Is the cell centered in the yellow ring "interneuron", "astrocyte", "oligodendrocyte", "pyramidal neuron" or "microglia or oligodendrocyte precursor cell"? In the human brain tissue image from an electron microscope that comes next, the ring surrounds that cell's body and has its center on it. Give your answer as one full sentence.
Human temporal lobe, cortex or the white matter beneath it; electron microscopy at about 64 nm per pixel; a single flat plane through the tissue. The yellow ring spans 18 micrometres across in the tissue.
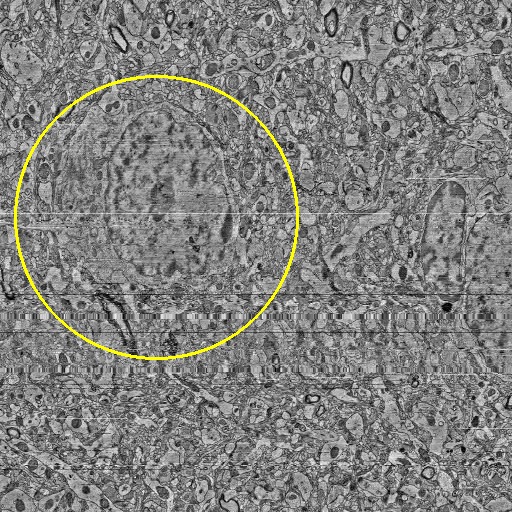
The cell at the center of the yellow ring is an interneuron in the micrograph.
